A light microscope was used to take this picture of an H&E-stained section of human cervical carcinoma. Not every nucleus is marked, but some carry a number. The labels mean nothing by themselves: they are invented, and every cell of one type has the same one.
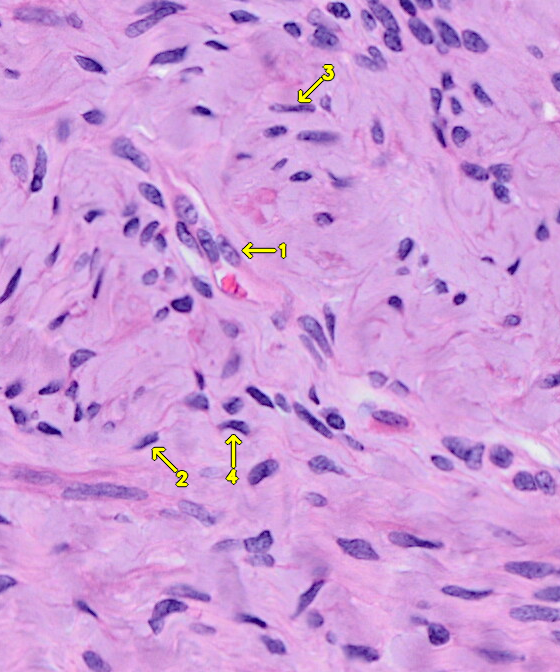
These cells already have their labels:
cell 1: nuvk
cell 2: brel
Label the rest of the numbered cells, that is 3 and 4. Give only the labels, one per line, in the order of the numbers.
brel
brel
